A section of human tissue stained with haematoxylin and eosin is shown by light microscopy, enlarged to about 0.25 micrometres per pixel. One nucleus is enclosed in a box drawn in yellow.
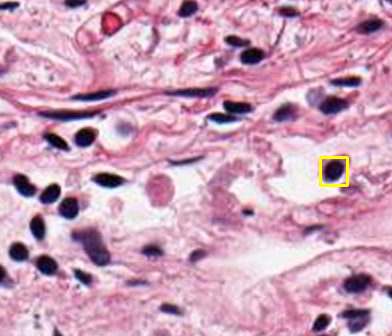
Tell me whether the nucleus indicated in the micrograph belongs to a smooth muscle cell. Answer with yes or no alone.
no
